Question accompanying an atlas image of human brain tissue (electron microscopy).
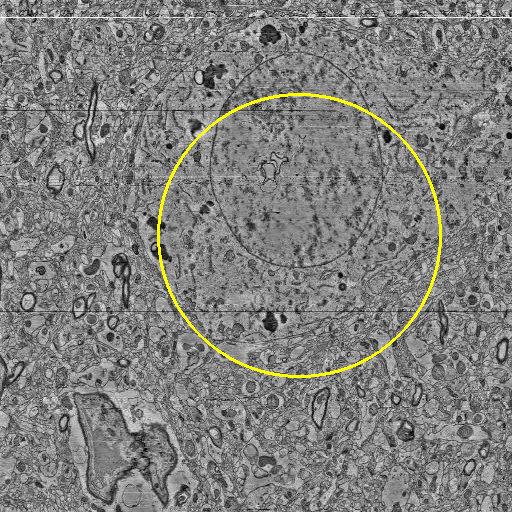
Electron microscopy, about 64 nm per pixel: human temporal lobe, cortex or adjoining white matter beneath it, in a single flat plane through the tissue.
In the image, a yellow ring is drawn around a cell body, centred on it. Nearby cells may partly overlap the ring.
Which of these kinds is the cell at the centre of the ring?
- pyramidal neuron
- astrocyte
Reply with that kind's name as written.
pyramidal neuron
